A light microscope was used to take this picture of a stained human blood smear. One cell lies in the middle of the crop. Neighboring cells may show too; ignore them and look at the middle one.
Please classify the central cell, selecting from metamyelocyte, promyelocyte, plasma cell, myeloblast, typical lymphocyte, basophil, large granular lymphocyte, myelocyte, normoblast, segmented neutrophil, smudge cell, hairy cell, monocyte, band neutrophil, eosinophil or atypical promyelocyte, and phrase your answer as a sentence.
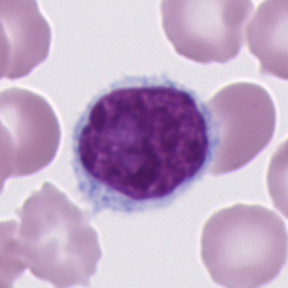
Here the cell in the middle is a hairy cell.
